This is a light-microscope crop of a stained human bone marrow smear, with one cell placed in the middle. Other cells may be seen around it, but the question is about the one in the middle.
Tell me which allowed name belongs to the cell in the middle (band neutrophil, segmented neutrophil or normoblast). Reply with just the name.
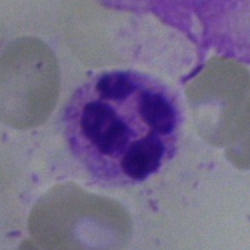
segmented neutrophil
